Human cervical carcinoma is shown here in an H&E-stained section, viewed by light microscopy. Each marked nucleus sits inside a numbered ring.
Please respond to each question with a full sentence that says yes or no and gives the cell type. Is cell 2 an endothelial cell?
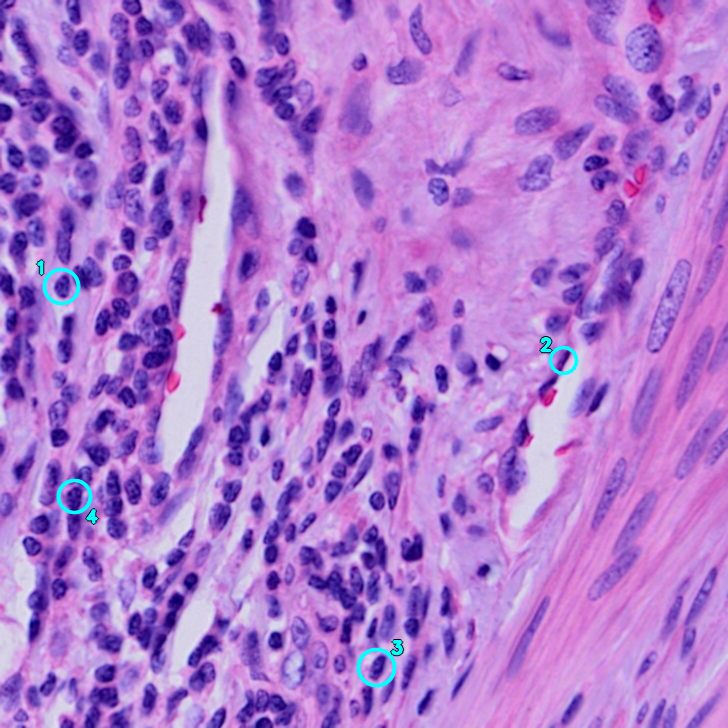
Yes, the cell that the number 2 labels is an endothelial cell.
